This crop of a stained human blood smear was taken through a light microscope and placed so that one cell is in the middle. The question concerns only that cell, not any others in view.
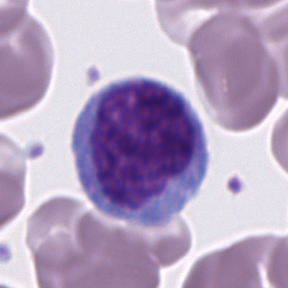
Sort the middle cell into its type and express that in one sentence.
The crop's centre is taken up by a monocyte.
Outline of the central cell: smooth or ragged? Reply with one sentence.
There are no projections here; the outline is simply smooth.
